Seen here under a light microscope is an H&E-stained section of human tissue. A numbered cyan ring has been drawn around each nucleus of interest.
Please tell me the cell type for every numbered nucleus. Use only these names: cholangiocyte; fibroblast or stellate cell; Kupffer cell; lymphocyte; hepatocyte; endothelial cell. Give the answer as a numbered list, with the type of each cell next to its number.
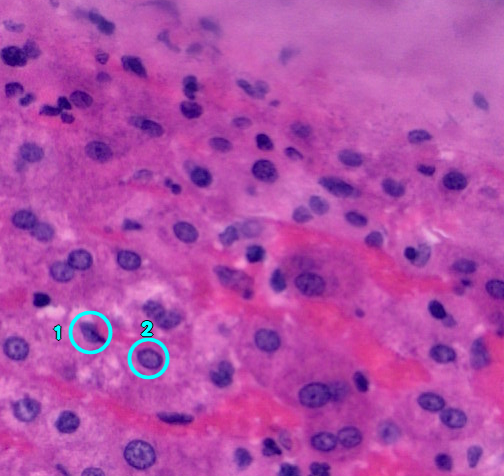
1. endothelial cell
2. hepatocyte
